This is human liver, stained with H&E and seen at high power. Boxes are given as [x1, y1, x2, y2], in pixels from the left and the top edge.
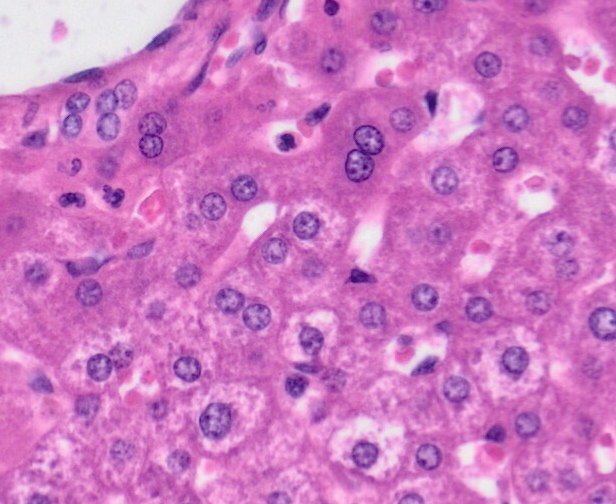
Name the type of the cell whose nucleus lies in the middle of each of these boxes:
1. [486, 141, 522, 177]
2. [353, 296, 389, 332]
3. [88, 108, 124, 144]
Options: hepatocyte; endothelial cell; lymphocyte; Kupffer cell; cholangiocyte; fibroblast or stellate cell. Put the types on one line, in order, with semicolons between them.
hepatocyte; hepatocyte; cholangiocyte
